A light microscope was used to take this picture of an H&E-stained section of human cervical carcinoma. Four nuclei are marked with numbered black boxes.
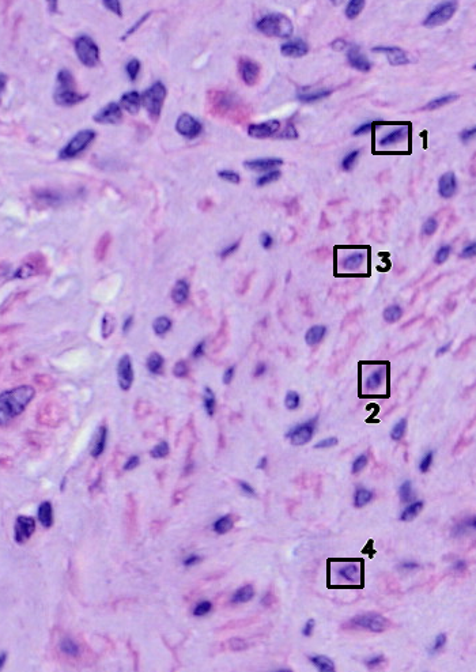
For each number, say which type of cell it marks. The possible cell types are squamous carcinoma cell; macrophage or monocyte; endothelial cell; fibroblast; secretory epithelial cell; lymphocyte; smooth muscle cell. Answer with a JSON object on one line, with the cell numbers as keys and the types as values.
{"1": "fibroblast", "2": "smooth muscle cell", "3": "smooth muscle cell", "4": "smooth muscle cell"}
